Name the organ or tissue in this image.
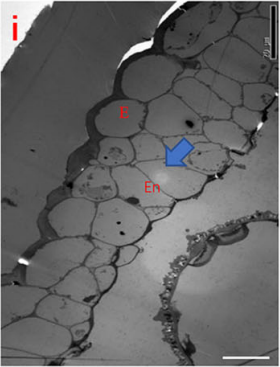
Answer: Anther wall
